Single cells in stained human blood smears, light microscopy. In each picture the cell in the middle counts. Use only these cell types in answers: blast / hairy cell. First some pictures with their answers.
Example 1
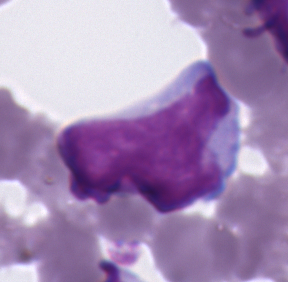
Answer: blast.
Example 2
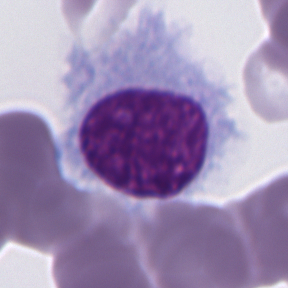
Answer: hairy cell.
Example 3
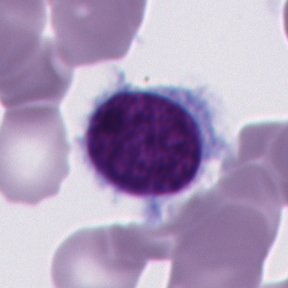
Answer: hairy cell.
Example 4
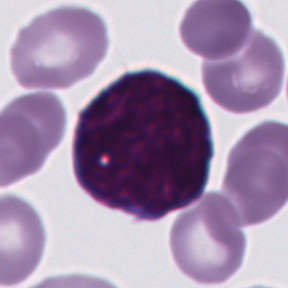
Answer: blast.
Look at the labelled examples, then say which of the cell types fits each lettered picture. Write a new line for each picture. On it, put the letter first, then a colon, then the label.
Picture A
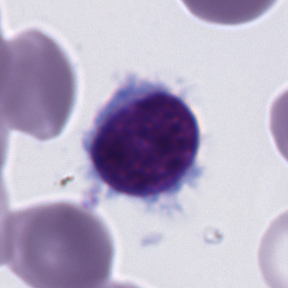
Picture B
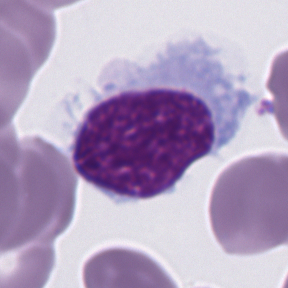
A: hairy cell.
B: hairy cell.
